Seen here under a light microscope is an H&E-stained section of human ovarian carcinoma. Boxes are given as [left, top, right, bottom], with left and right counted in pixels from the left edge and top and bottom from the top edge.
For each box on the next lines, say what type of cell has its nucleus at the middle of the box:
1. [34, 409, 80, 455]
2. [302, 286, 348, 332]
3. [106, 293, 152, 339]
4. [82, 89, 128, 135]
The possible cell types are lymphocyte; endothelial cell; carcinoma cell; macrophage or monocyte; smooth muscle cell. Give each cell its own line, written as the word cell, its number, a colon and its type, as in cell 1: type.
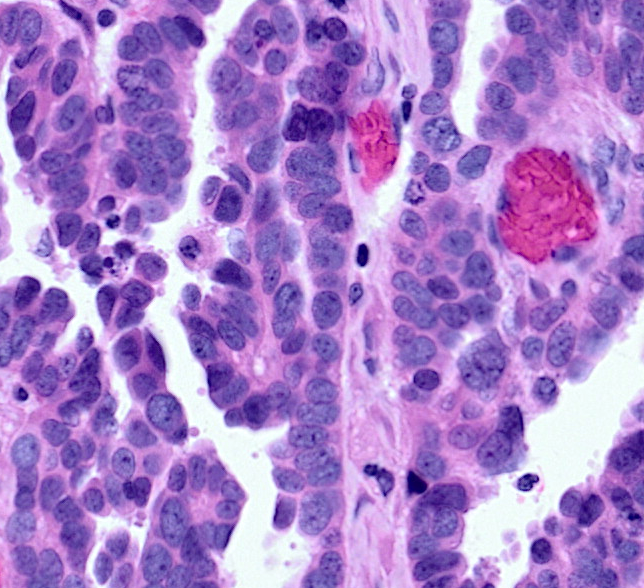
cell 1: carcinoma cell
cell 2: carcinoma cell
cell 3: carcinoma cell
cell 4: macrophage or monocyte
